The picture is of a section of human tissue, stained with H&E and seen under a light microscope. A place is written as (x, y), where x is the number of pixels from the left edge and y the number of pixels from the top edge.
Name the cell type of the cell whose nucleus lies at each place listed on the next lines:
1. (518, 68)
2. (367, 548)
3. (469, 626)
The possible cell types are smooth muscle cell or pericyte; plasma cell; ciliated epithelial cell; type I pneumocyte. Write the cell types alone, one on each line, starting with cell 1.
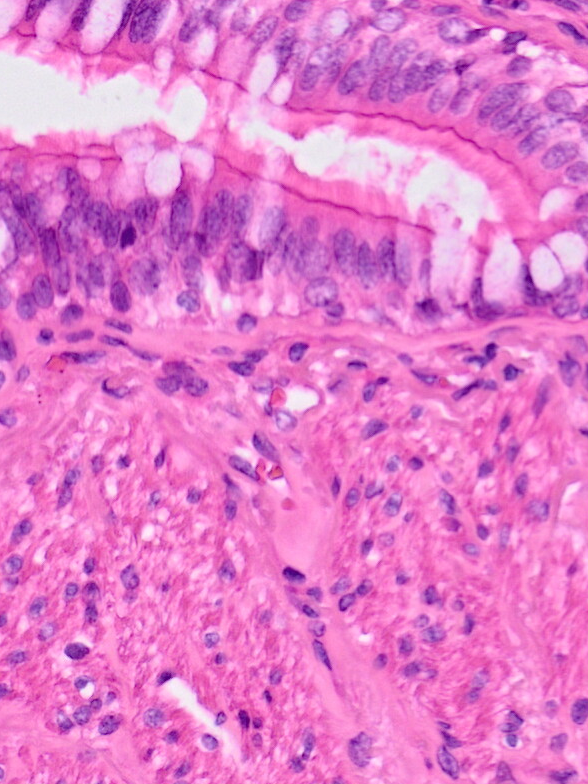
ciliated epithelial cell
smooth muscle cell or pericyte
smooth muscle cell or pericyte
